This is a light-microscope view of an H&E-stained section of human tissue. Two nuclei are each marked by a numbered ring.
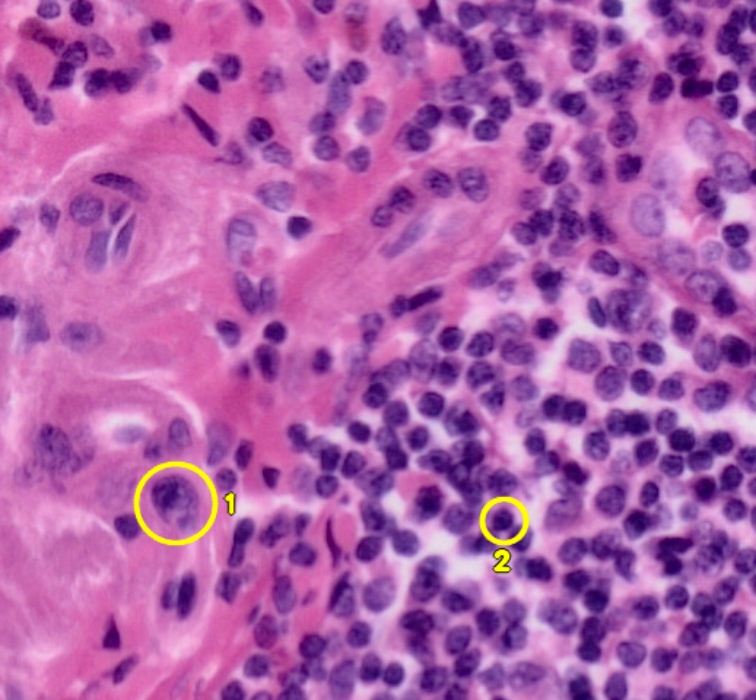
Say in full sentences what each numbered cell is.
Cell 1 is an endothelial cell. Cell 2 is a small lymphocyte.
